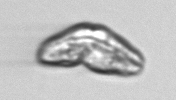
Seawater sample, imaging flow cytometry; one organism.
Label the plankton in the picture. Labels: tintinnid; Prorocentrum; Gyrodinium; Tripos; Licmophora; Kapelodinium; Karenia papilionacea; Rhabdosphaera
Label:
Karenia papilionacea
